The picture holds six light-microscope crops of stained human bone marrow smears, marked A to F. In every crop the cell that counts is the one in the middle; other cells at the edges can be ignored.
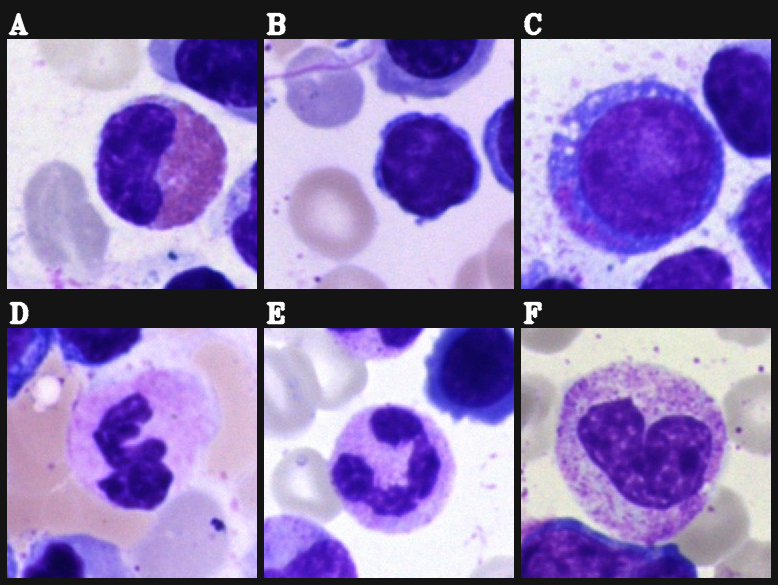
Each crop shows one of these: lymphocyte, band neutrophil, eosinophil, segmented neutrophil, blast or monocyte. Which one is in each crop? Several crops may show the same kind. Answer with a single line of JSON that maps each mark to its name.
{"A": "eosinophil", "B": "lymphocyte", "C": "blast", "D": "segmented neutrophil", "E": "segmented neutrophil", "F": "band neutrophil"}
